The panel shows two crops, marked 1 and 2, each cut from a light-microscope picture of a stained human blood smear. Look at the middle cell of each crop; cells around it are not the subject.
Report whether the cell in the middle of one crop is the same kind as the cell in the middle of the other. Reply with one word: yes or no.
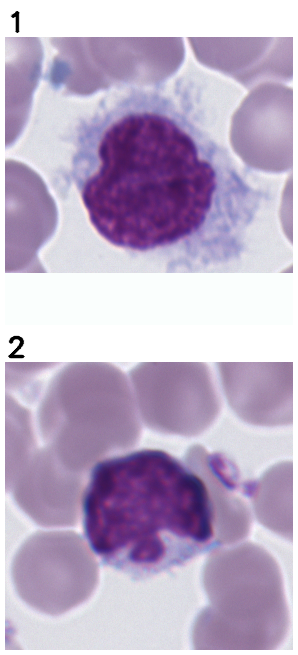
no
